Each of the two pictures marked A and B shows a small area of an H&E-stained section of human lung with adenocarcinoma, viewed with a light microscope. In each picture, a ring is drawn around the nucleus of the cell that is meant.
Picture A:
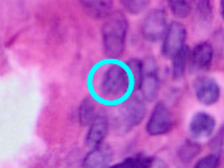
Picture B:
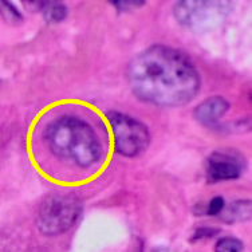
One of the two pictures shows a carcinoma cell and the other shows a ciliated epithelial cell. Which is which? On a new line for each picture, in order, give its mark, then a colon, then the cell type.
A: ciliated epithelial cell
B: carcinoma cell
